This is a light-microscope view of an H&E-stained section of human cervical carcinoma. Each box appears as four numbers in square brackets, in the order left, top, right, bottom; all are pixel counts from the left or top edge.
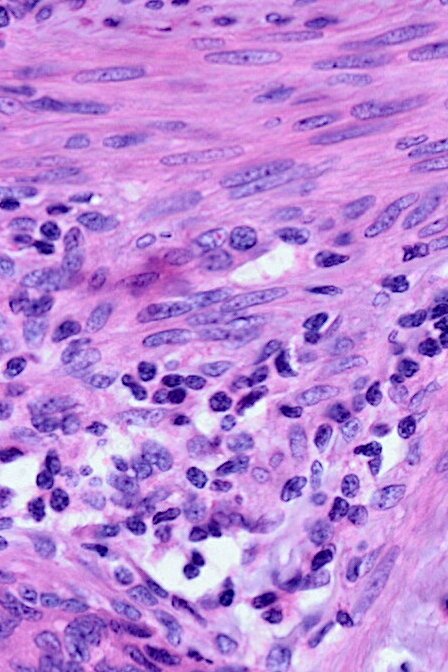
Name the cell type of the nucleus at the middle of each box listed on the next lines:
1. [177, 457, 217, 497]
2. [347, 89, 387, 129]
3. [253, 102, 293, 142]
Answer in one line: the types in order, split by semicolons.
lymphocyte; smooth muscle cell; smooth muscle cell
